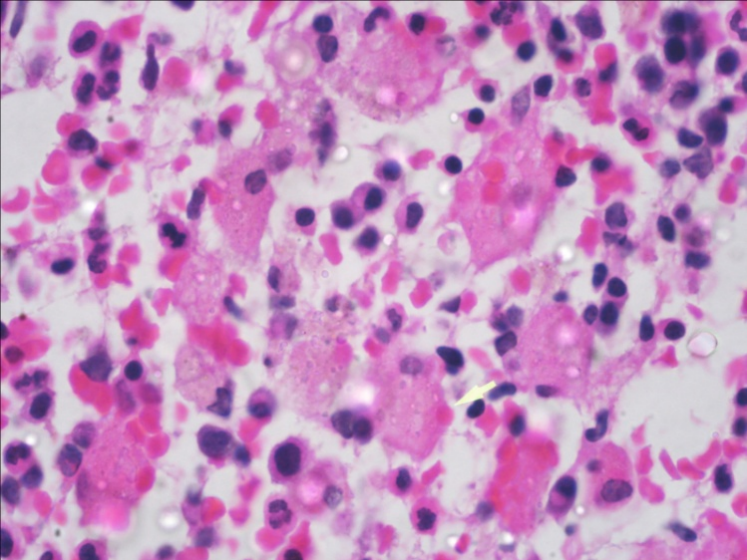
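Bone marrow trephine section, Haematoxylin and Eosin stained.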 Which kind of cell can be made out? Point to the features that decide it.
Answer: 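Many large cells with abundant pale pink, finely granular cytoplasm are scattered among smaller cells. The large cells have ill-defined borders and small eccentric nuclei.
Hence: histiocytes.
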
